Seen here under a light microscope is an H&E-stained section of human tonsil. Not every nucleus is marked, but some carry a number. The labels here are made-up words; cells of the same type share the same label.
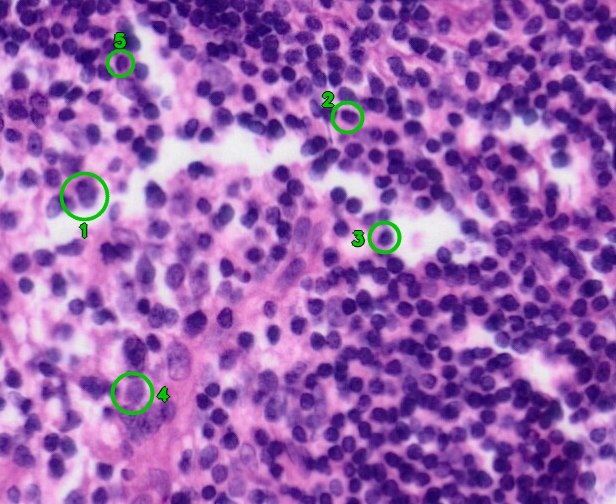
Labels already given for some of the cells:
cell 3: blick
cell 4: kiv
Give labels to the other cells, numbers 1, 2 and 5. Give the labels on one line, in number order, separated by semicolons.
kiv; blick; blick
